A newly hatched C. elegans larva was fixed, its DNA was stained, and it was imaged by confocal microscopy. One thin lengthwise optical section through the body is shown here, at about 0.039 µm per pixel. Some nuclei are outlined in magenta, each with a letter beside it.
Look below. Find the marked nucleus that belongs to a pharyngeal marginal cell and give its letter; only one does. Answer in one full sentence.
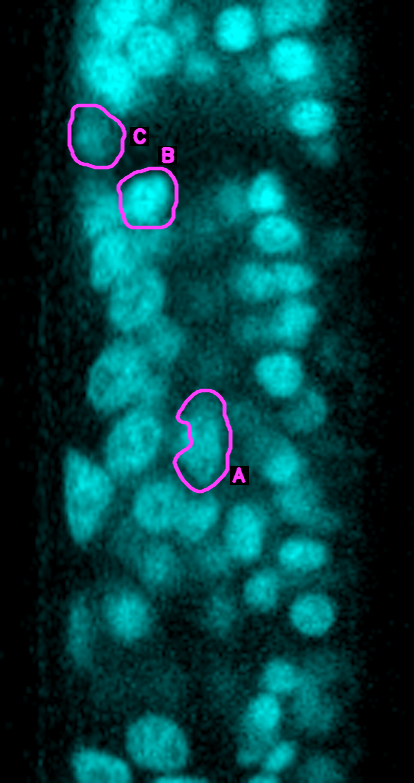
A is the nucleus of a pharyngeal marginal cell.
